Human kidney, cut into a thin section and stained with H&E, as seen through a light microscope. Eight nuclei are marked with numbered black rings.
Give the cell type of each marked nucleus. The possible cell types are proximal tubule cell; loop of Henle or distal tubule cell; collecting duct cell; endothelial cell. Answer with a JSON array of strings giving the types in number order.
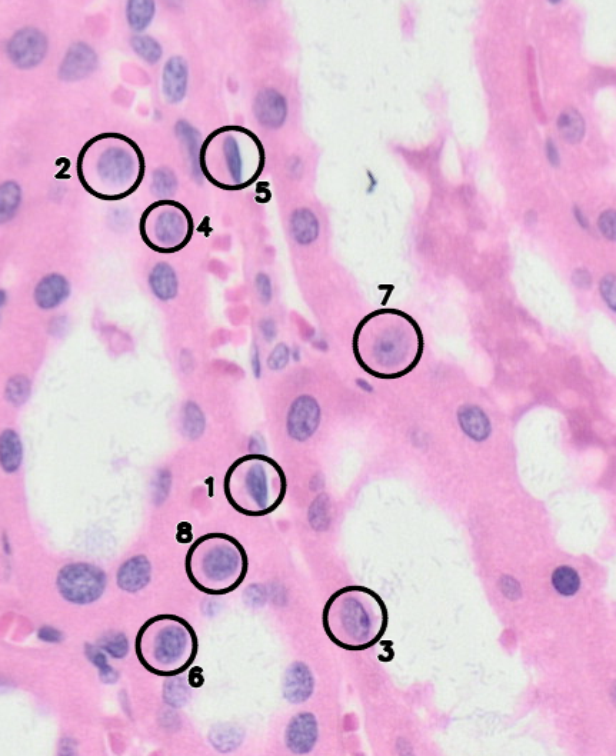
["endothelial cell", "loop of Henle or distal tubule cell", "proximal tubule cell", "loop of Henle or distal tubule cell", "endothelial cell", "loop of Henle or distal tubule cell", "proximal tubule cell", "loop of Henle or distal tubule cell"]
